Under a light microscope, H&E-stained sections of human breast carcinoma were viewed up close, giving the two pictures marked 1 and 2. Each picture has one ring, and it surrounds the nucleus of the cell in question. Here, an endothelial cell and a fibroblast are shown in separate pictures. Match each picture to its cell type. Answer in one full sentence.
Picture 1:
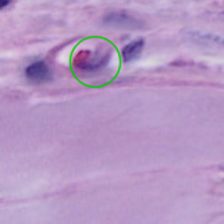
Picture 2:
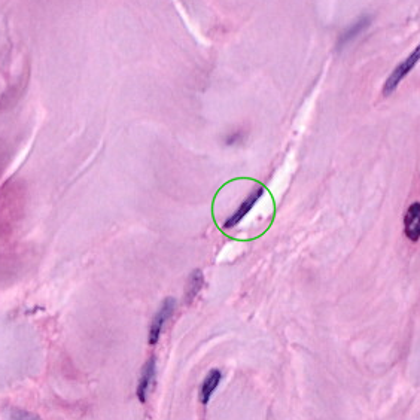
The cell in picture 1 is an endothelial cell, and the one in picture 2 is a fibroblast.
